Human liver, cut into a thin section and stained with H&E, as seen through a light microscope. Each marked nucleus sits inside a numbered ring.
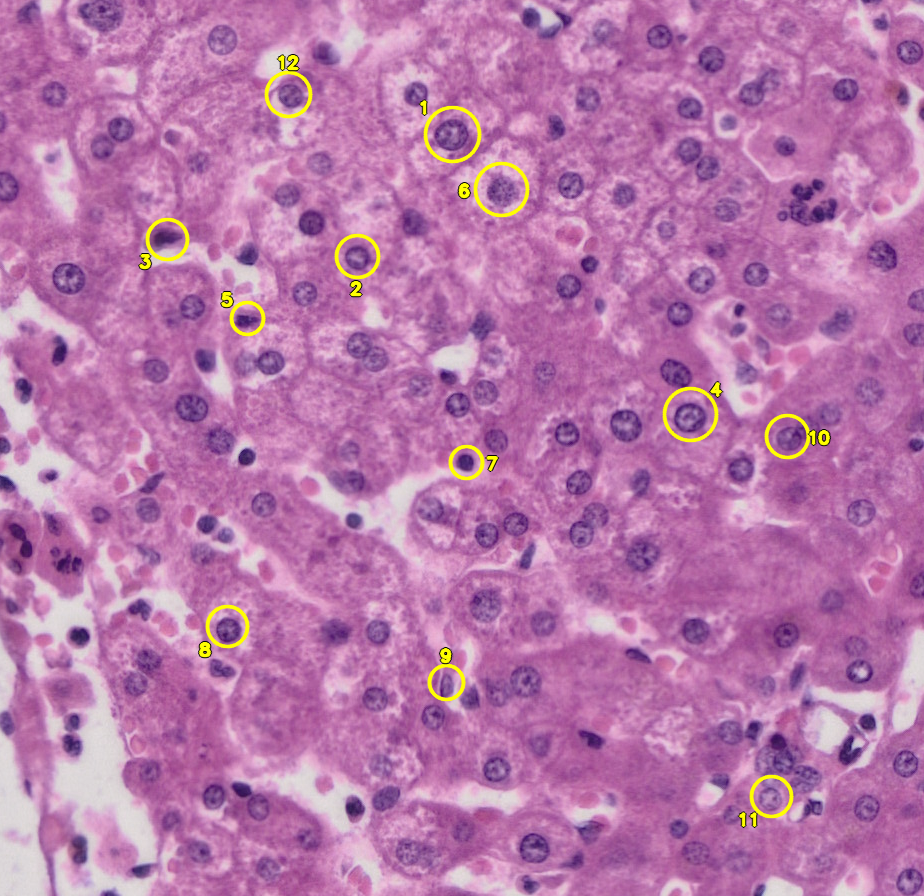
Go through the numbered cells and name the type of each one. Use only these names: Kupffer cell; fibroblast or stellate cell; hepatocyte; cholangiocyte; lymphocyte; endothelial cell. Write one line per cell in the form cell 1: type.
cell 1: hepatocyte
cell 2: hepatocyte
cell 3: Kupffer cell
cell 4: hepatocyte
cell 5: fibroblast or stellate cell
cell 6: hepatocyte
cell 7: lymphocyte
cell 8: hepatocyte
cell 9: Kupffer cell
cell 10: hepatocyte
cell 11: cholangiocyte
cell 12: hepatocyte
